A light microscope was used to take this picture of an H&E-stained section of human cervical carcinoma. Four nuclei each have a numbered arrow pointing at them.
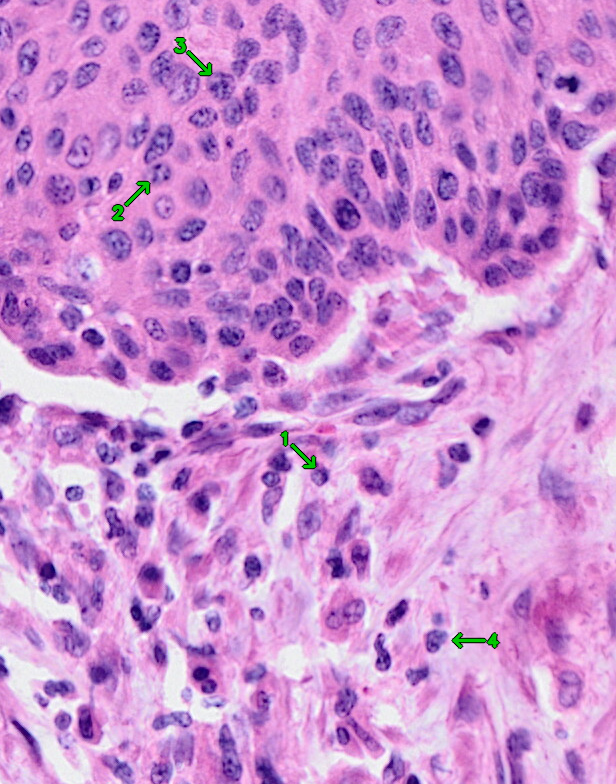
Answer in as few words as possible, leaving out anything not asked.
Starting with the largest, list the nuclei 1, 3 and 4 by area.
3, 4, 1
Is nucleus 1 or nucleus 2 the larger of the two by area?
2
